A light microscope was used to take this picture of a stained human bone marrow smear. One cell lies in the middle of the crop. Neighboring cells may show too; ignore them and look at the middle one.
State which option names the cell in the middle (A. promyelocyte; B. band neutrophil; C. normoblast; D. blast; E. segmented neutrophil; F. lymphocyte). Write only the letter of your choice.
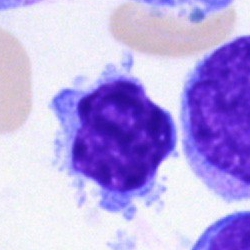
F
